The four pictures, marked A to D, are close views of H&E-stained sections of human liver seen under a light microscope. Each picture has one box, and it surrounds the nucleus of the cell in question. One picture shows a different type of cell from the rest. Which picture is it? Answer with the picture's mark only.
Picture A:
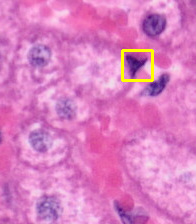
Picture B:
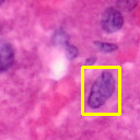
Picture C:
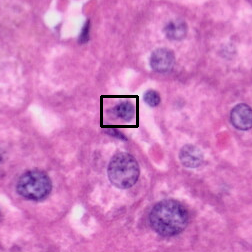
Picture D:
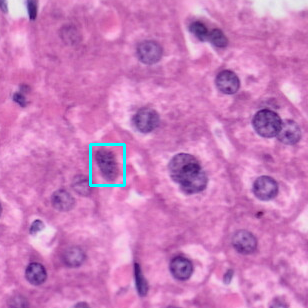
A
